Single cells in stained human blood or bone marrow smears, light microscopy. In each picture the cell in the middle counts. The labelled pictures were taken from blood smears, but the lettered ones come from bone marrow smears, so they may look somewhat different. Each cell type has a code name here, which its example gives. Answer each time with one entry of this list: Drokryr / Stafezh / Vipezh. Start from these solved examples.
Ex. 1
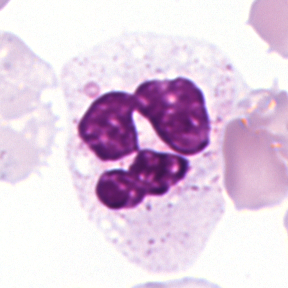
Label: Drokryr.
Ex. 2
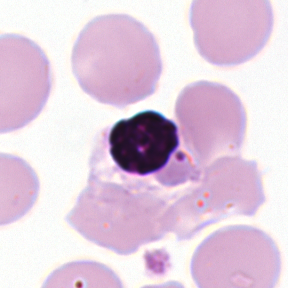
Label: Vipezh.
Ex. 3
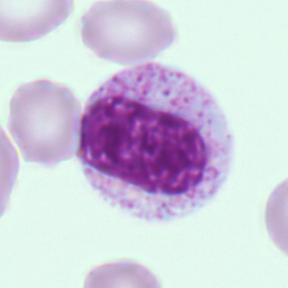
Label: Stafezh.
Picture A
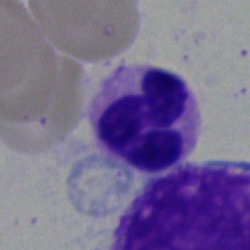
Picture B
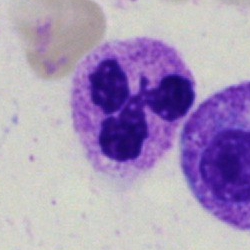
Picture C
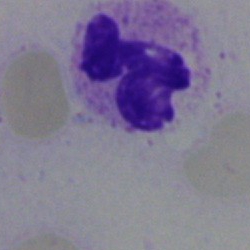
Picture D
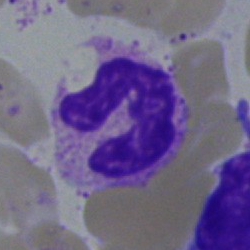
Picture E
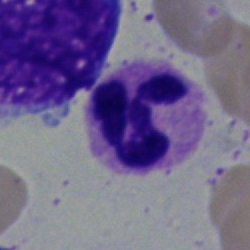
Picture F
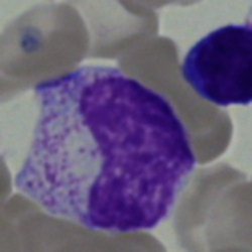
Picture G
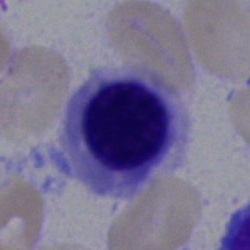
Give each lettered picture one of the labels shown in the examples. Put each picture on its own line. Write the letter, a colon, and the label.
A: Drokryr.
B: Drokryr.
C: Drokryr.
D: Drokryr.
E: Drokryr.
F: Stafezh.
G: Vipezh.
